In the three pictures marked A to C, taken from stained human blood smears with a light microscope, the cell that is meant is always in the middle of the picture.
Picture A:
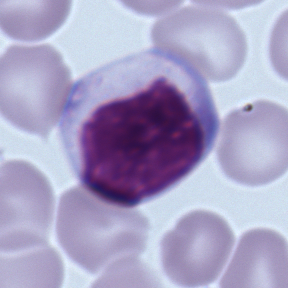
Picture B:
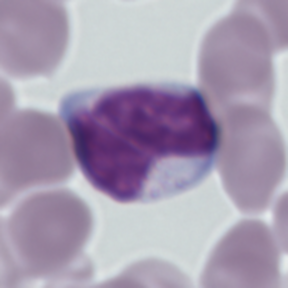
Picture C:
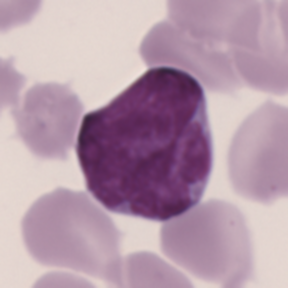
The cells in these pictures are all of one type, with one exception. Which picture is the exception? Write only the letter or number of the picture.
C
